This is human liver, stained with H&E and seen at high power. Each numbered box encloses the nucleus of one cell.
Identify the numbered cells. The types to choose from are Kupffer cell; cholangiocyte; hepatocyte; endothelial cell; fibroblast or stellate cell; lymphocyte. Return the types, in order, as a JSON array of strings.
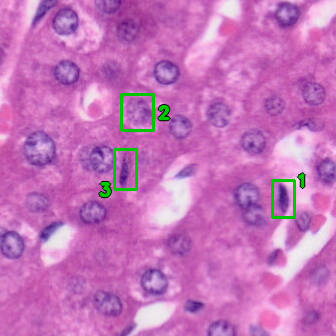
["fibroblast or stellate cell", "hepatocyte", "fibroblast or stellate cell"]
